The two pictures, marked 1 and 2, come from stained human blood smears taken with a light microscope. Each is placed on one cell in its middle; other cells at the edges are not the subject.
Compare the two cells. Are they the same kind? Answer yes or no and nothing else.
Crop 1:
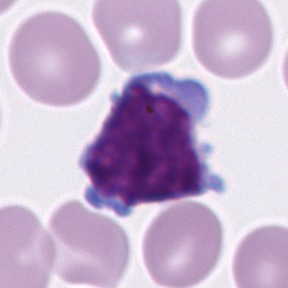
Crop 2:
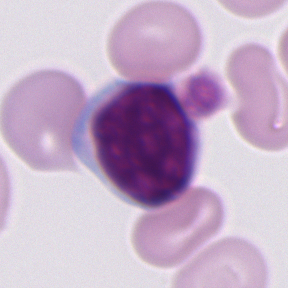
yes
